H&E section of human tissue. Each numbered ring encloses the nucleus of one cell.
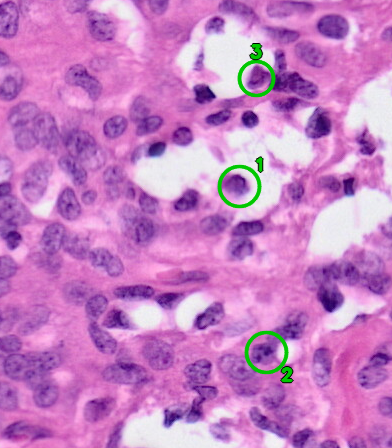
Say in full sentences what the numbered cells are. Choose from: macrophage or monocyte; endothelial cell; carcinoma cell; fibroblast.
Cells 1 and 3 are carcinoma cells. Cell 2 is a macrophage or monocyte.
